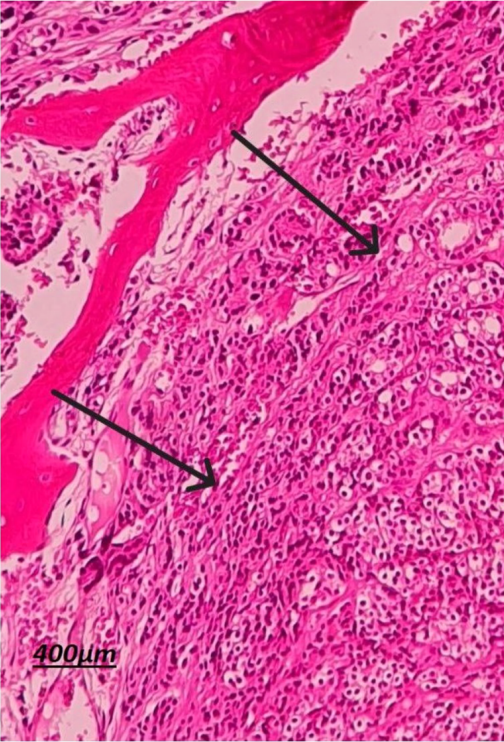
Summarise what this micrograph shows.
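Bone marrow with a neoplasm in sheets, aggregates and nests filling the space beside a bright pink bony trabecula at the upper left. The tumour cells are closely packed, with clear cytoplasm and small dark nuclei, grouped into rounded nests separated by delicate pink strands. Scattered small round clear spaces lie among the nests. No fat spaces or normal marrow elements are evident in the infiltrated field.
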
